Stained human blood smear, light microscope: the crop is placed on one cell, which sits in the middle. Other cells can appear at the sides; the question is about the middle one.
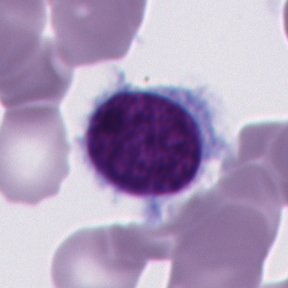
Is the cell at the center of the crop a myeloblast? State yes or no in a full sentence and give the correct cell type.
No, what lies at the heart of the crop is a hairy cell, not a myeloblast.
